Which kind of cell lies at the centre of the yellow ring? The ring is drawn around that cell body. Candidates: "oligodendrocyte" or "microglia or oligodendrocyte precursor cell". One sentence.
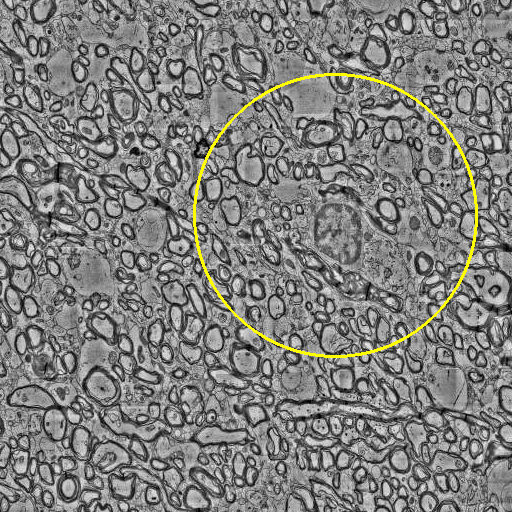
Lying at the centre of the ring is an oligodendrocyte.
